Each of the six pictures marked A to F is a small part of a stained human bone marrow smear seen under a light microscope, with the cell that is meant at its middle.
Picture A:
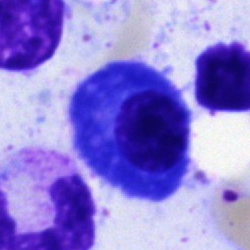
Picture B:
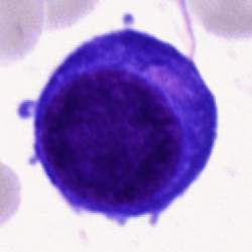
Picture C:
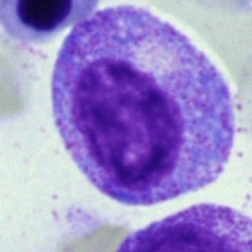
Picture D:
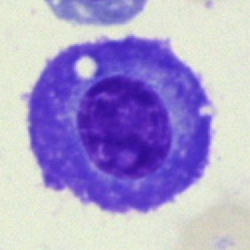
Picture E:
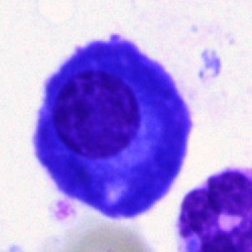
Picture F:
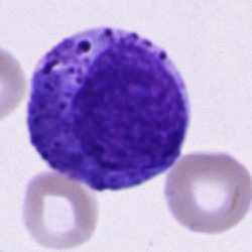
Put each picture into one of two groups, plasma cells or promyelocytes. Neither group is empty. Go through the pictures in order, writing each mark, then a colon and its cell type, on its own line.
A: plasma cell
B: plasma cell
C: promyelocyte
D: plasma cell
E: plasma cell
F: promyelocyte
